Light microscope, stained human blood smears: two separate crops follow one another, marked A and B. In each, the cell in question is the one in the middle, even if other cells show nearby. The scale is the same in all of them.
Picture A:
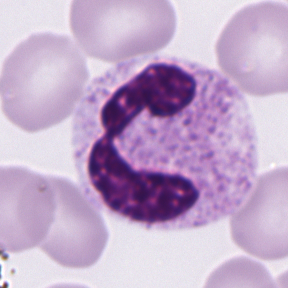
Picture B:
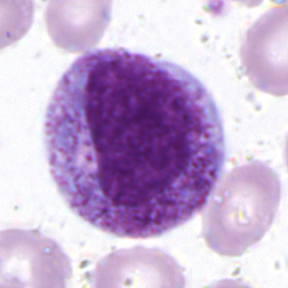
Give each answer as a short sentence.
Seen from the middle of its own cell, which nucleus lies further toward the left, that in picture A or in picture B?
In picture A the nucleus is shifted more toward the left.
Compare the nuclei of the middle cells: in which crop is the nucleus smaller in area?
Smaller is the nucleus in picture A, and the other is about 1.5 times as large in area.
